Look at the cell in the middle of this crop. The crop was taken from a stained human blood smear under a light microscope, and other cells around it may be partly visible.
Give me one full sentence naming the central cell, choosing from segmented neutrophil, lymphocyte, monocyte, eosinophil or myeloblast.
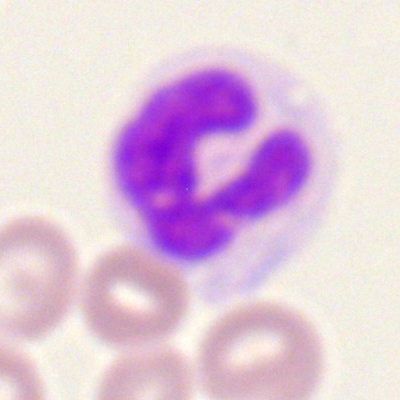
The cell nearest the centre of this crop is a monocyte.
